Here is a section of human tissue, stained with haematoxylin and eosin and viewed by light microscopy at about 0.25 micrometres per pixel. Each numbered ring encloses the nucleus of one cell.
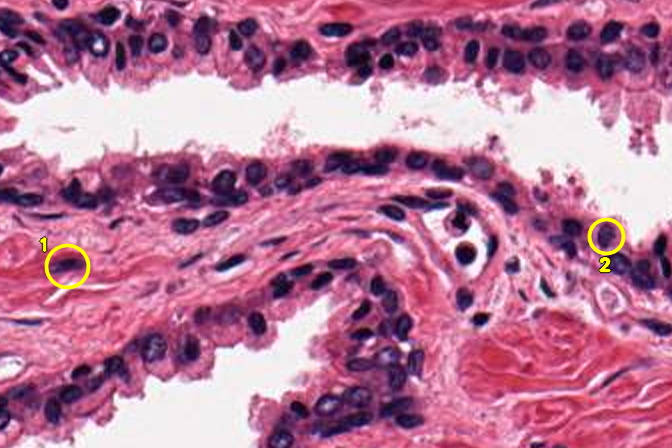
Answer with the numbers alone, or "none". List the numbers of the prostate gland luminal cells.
2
